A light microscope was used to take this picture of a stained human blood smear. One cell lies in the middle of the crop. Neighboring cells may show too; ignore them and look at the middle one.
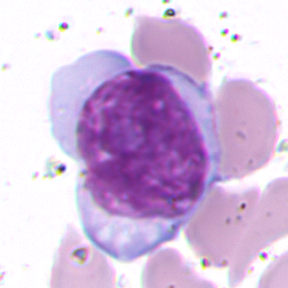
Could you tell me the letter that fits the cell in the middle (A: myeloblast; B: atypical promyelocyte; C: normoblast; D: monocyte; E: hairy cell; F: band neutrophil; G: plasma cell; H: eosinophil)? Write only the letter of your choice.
G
